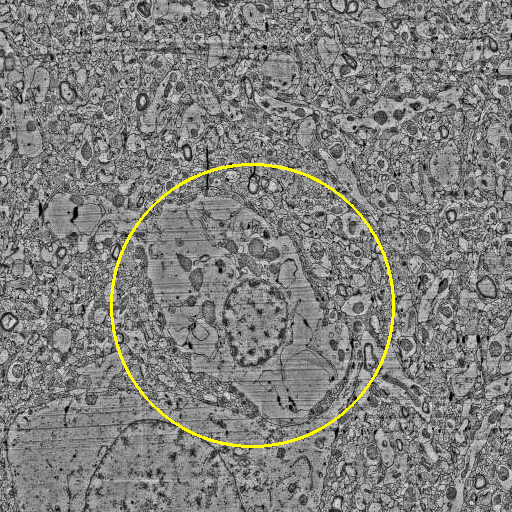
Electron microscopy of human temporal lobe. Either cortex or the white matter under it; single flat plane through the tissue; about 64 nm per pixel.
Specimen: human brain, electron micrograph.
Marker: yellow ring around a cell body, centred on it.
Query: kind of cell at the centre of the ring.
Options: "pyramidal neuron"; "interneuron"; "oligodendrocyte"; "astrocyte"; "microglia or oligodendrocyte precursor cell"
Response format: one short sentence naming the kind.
This cell body belongs to an astrocyte.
